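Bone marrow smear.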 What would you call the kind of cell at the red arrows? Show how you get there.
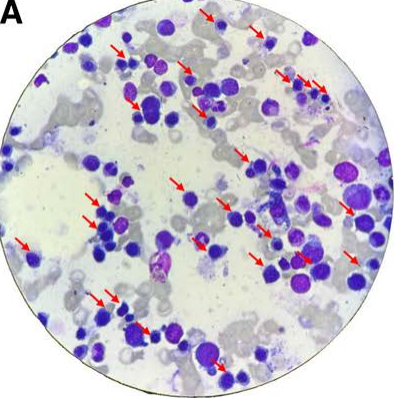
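The marked cells are small and round, with a dense, dark, round nucleus. The marked cells have a thin rim of cytoplasm around the nucleus. The marked cells are numerous and scattered among pale red blood cells.
Conclusion: erythroblasts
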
